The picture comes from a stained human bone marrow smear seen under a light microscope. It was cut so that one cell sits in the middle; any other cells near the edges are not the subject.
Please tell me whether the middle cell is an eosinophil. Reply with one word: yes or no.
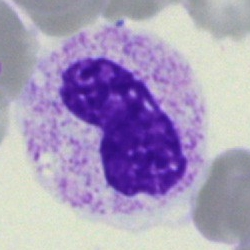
no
